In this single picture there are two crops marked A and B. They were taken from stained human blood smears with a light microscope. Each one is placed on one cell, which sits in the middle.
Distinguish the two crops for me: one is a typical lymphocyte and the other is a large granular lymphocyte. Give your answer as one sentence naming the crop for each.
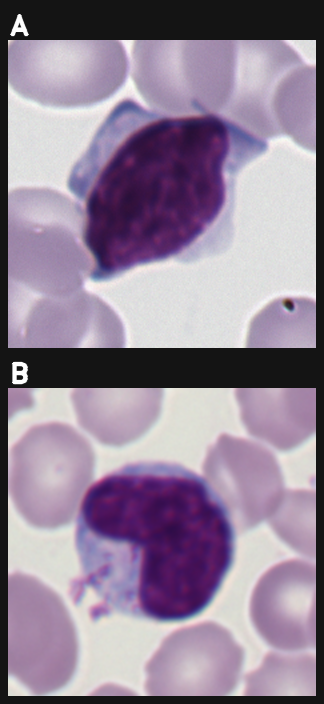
In crop A, a typical lymphocyte is present; in crop B, a large granular lymphocyte is present.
